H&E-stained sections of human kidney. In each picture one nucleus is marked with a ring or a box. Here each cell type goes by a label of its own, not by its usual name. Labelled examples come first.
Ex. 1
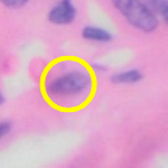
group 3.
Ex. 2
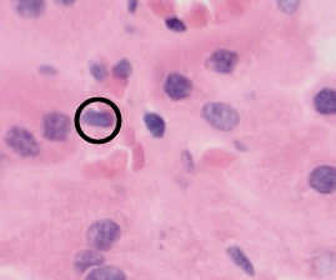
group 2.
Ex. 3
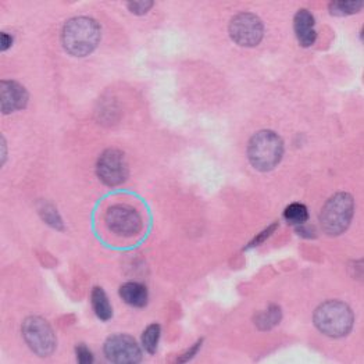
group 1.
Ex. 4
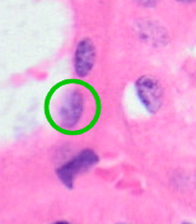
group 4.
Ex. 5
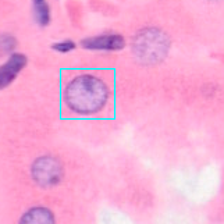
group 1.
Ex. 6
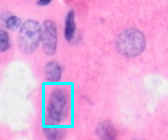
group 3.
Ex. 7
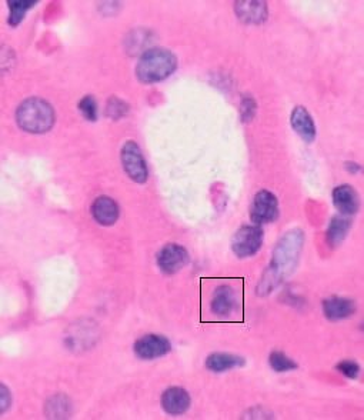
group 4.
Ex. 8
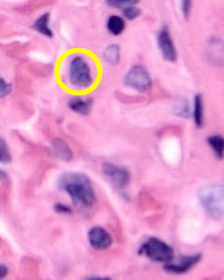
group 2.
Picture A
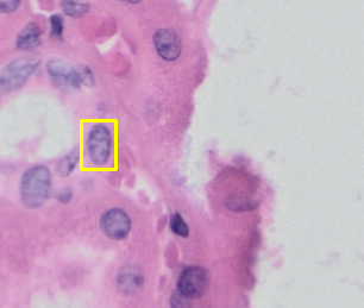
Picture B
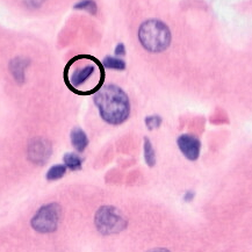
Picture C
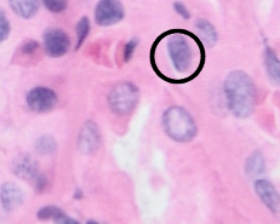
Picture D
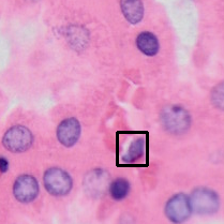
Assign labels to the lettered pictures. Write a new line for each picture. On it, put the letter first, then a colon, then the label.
A: group 3.
B: group 2.
C: group 2.
D: group 2.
